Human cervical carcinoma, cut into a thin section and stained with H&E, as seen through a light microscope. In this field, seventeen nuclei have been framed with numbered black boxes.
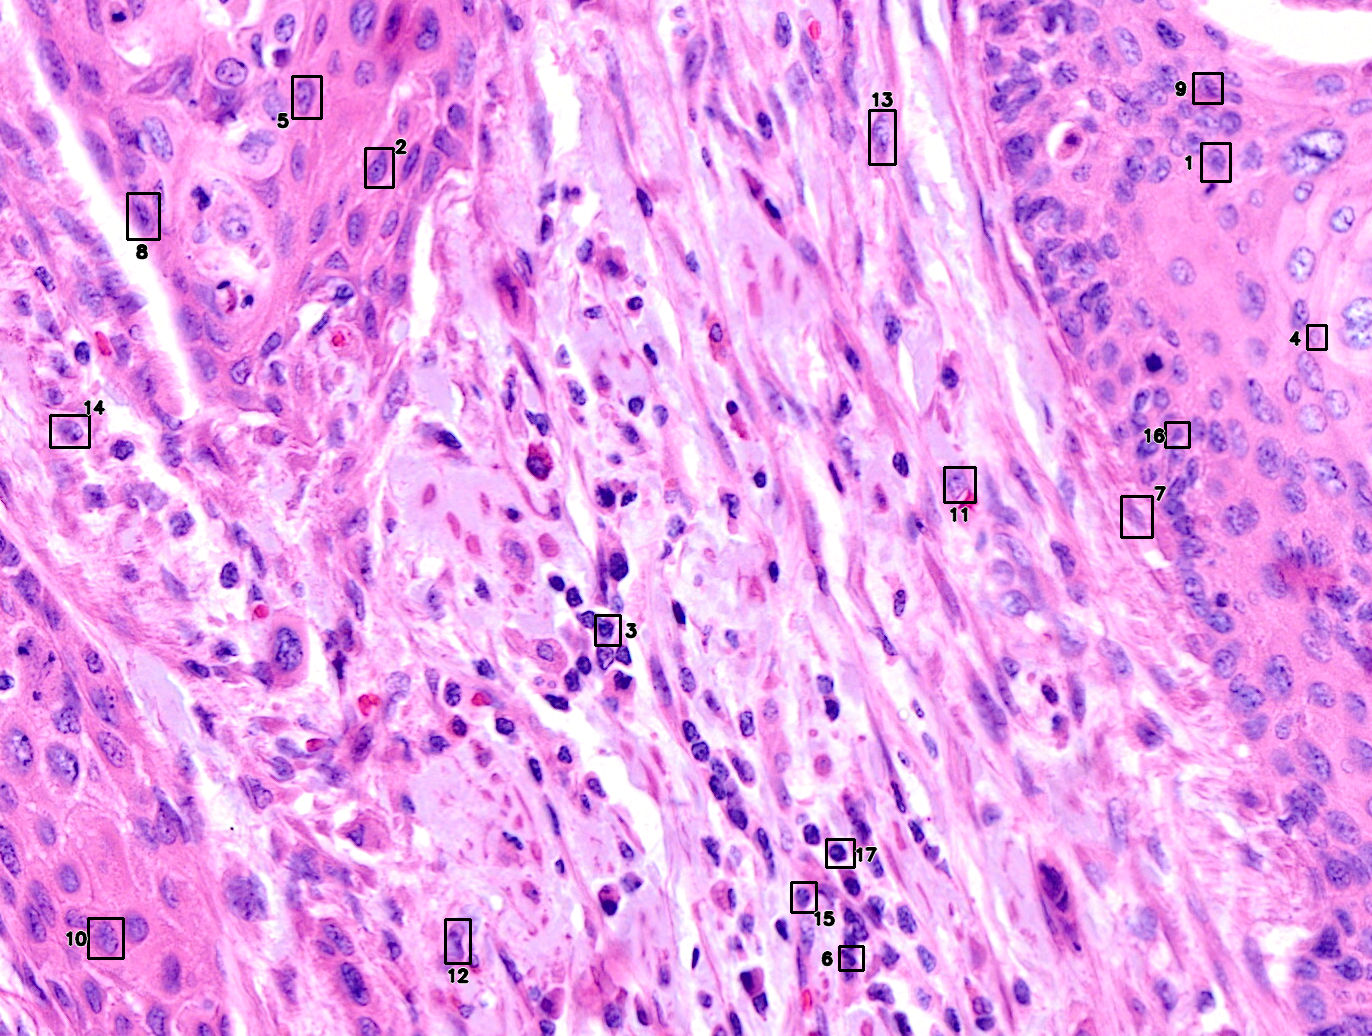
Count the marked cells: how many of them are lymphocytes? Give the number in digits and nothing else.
4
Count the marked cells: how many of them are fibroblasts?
2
